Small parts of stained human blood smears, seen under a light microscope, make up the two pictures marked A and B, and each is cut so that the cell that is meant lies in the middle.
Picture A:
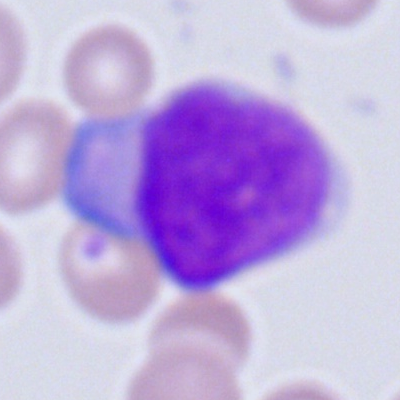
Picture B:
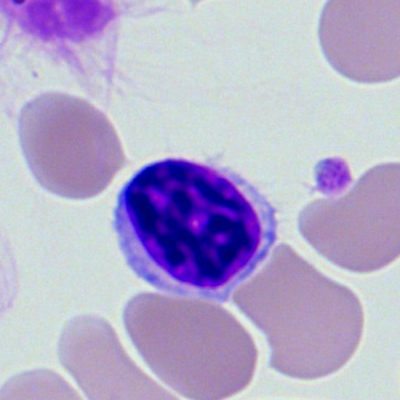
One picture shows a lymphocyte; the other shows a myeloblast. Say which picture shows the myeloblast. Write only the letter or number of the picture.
A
